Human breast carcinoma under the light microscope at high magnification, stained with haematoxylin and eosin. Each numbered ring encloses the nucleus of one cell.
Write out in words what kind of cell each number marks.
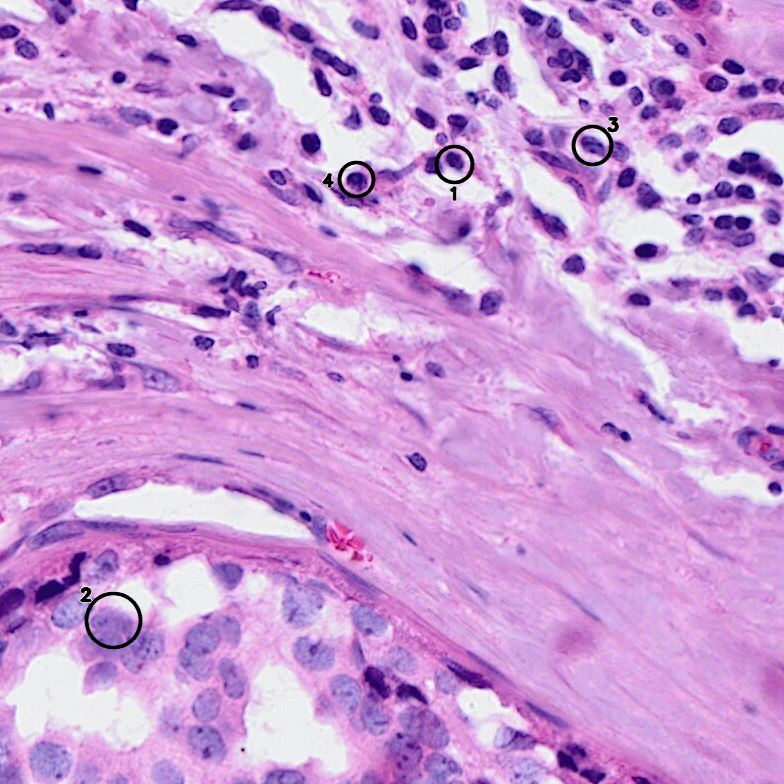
Cell 1 is a lymphocyte, cell 2 is a carcinoma cell, cell 3 is a lymphocyte and cell 4 is a lymphocyte.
